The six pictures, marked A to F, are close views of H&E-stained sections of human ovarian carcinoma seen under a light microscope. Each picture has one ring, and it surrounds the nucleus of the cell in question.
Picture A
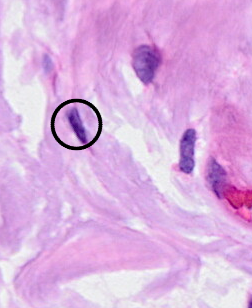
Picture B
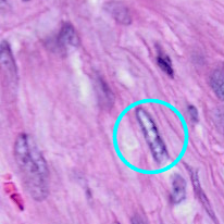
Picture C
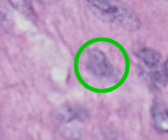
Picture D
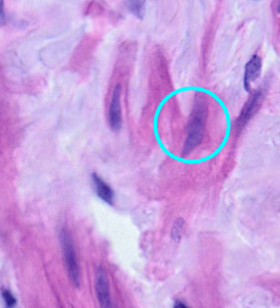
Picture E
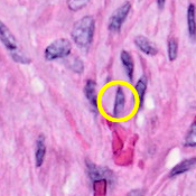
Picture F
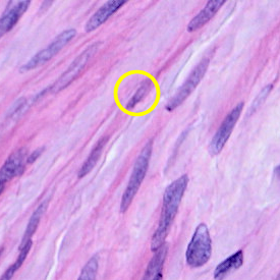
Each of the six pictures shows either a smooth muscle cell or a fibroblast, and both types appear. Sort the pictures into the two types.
A: fibroblast
B: fibroblast
C: fibroblast
D: smooth muscle cell
E: fibroblast
F: smooth muscle cell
